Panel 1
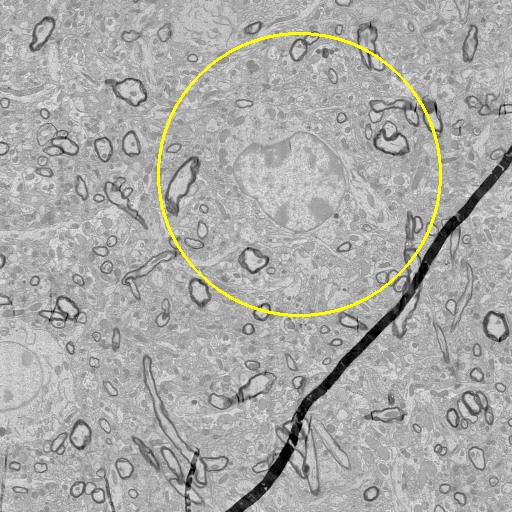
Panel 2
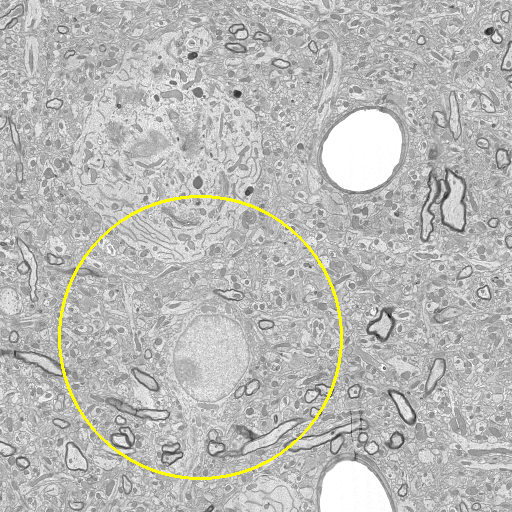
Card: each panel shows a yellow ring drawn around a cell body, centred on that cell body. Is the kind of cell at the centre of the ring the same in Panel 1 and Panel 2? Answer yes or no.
no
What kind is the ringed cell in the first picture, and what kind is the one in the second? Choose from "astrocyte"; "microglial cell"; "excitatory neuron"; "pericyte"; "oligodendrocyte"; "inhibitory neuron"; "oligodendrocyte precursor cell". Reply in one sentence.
The first cell is an oligodendrocyte; the second is an astrocyte.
